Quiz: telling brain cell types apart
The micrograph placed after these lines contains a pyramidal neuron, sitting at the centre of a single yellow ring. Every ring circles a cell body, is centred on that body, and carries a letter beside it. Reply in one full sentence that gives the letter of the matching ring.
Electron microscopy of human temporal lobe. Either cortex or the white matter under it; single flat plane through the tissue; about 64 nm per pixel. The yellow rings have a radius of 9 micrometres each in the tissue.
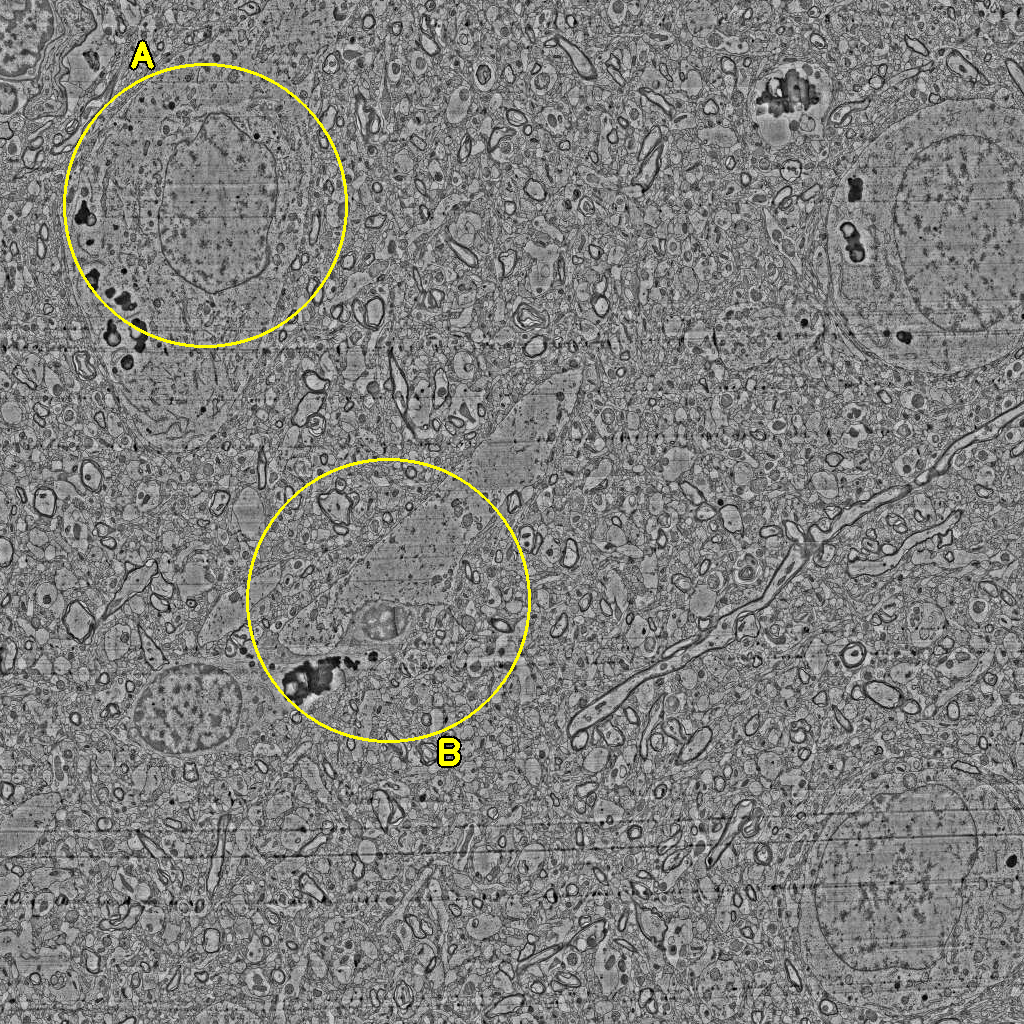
The cell asked for lies at the centre of ring A in the picture.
